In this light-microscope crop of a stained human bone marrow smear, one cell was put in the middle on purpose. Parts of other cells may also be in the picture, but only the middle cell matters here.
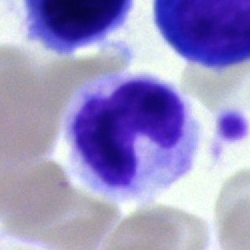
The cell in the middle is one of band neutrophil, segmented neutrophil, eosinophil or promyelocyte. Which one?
band neutrophil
